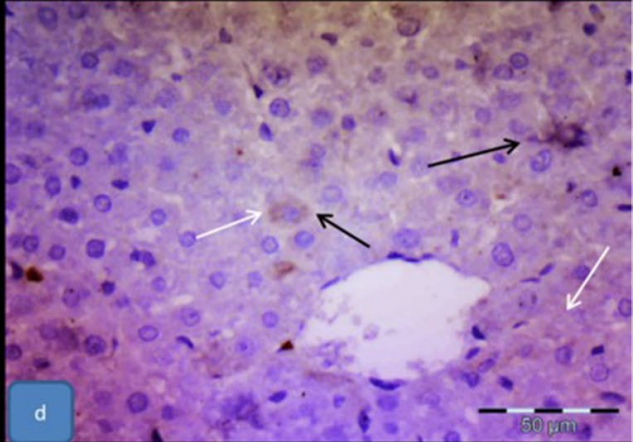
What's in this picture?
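Liver parenchyma with hepatocytes arranged in cords around a central, irregular vascular space. The hepatocytes are polygonal with round, centrally placed blue nuclei, many with a visible nucleolus, and pale, lightly tinted cytoplasm. Small, elongated or irregular dark nuclei lie between the cords in the sinusoids. A few small cells in these spaces are stained dark brown, standing out against the faint background. The vessel lumen is empty and lined by flattened cells.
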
